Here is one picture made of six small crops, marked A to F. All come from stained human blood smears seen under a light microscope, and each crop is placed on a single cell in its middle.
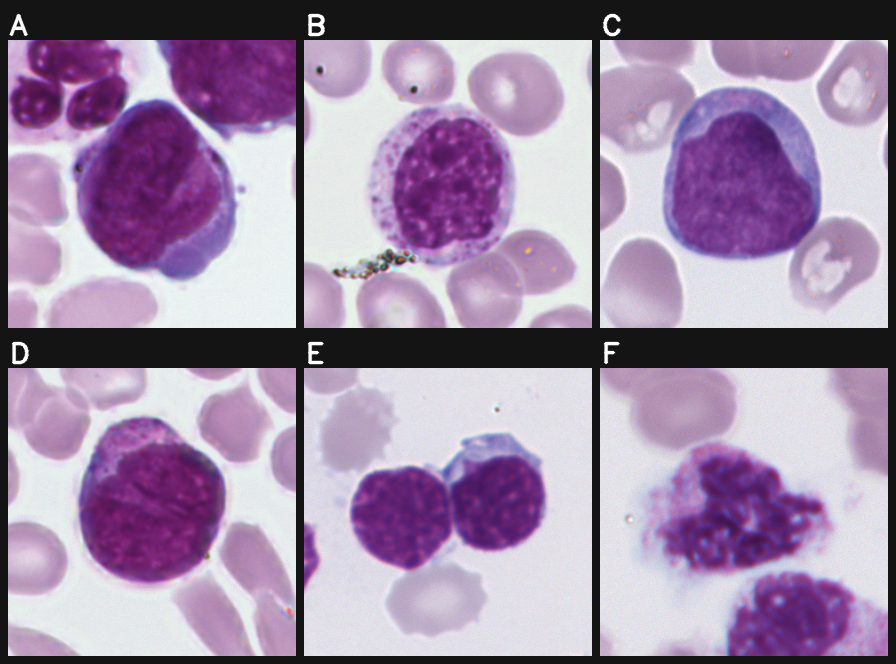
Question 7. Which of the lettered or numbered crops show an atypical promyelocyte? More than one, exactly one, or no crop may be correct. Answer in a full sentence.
Crops A, C and D are designated as showing atypical promyelocytes.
